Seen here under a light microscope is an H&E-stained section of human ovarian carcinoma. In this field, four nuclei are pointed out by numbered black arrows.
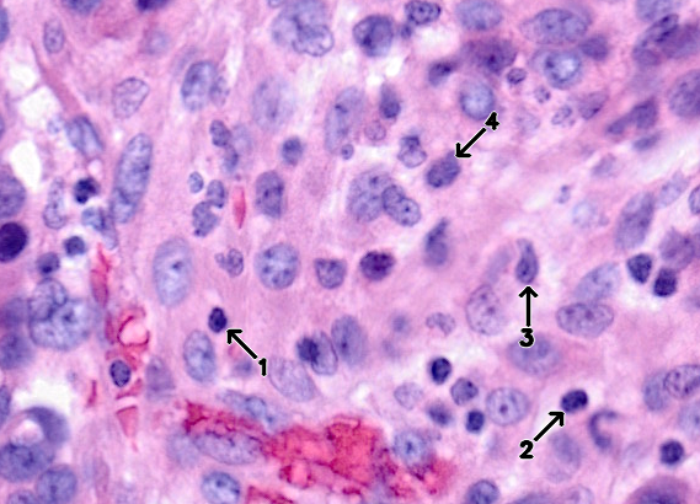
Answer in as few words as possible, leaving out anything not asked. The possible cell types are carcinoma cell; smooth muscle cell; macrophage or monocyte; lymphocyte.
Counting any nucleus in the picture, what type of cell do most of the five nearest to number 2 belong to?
macrophage or monocyte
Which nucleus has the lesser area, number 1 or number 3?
1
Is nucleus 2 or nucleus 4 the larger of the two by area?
4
